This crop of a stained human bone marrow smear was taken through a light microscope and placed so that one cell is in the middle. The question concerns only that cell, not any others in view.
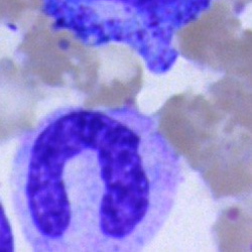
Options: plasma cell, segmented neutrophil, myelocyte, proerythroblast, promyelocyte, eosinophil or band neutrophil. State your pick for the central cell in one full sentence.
The cell occupying the middle of the crop is a band neutrophil.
